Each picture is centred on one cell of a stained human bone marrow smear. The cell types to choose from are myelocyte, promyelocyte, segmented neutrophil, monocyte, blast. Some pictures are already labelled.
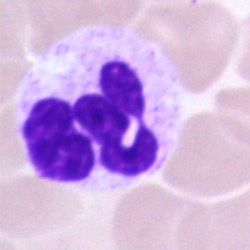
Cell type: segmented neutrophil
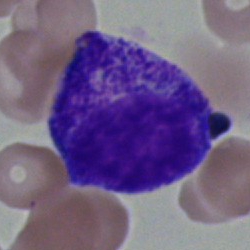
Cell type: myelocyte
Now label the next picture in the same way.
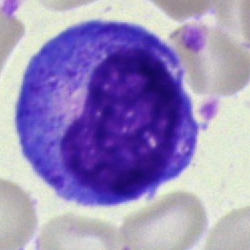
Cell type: promyelocyte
